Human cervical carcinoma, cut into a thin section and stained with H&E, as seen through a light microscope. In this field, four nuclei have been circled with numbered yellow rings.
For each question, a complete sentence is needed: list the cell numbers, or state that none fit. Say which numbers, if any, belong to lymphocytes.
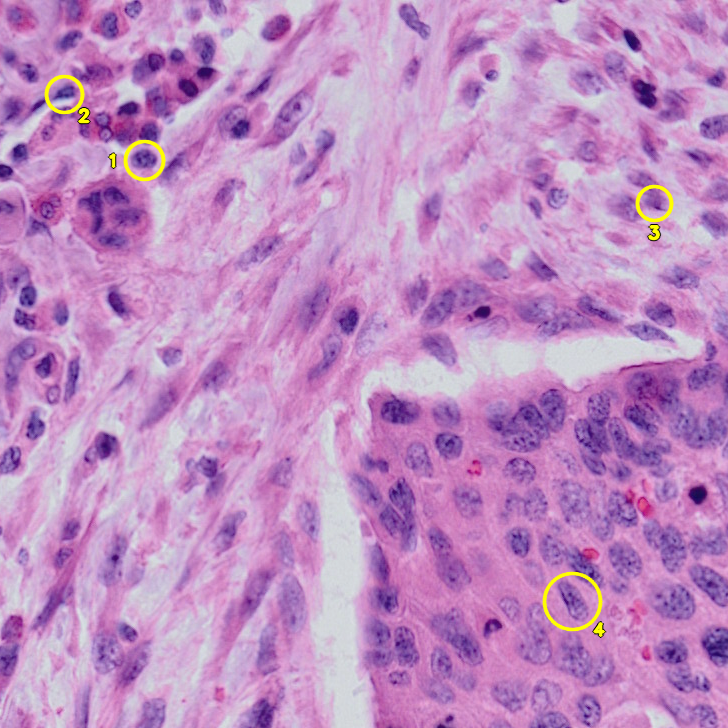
The cells that the numbers 1 and 2 belong to are lymphocytes.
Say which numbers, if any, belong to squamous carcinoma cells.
Only the cell numbered 4 is a squamous carcinoma cell; none of the others is.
